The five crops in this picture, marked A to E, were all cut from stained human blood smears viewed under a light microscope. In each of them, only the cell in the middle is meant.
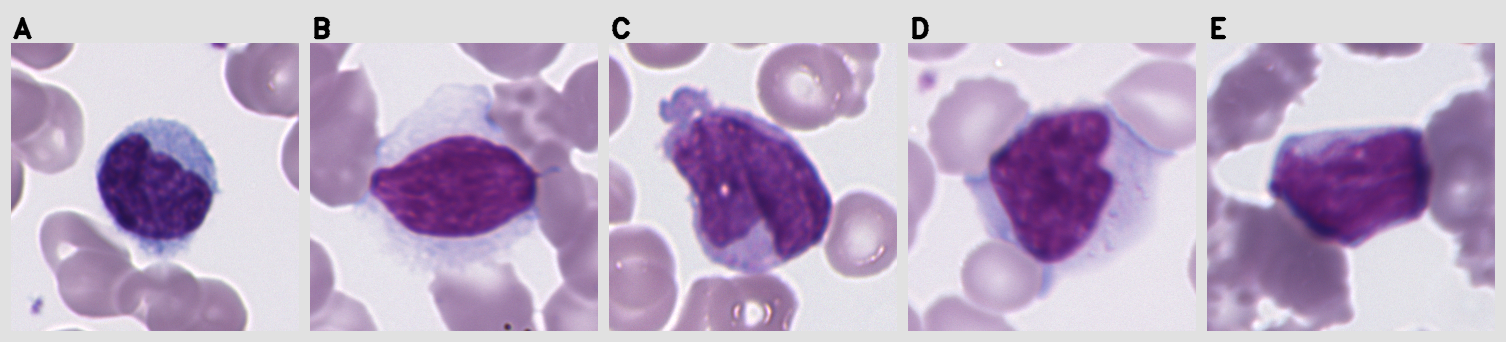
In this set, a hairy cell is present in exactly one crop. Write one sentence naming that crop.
Crop B, and no other, shows a hairy cell.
